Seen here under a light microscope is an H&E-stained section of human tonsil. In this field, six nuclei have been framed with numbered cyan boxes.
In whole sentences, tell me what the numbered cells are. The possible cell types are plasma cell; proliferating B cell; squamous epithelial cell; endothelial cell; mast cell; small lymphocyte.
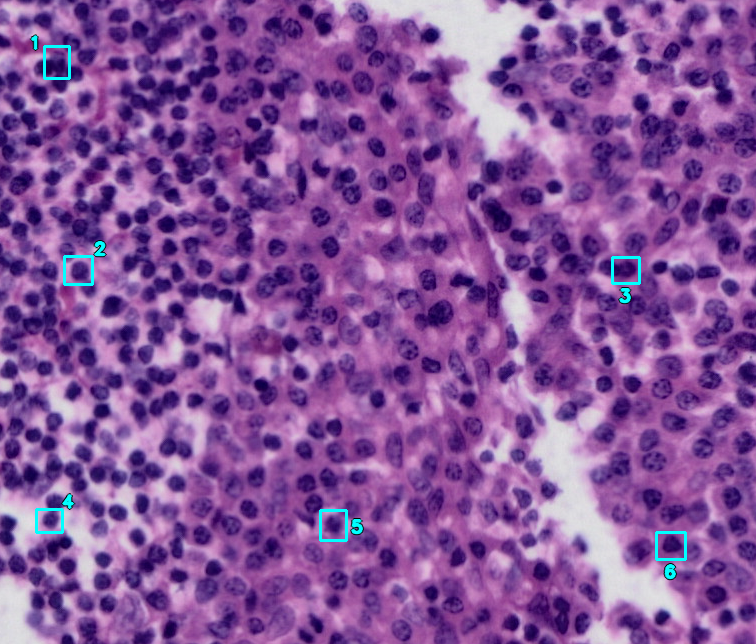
Cell 1 is a small lymphocyte, cell 2 is a small lymphocyte, cell 3 is a plasma cell, cell 4 is a small lymphocyte, cell 5 is a plasma cell and cell 6 is a plasma cell.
